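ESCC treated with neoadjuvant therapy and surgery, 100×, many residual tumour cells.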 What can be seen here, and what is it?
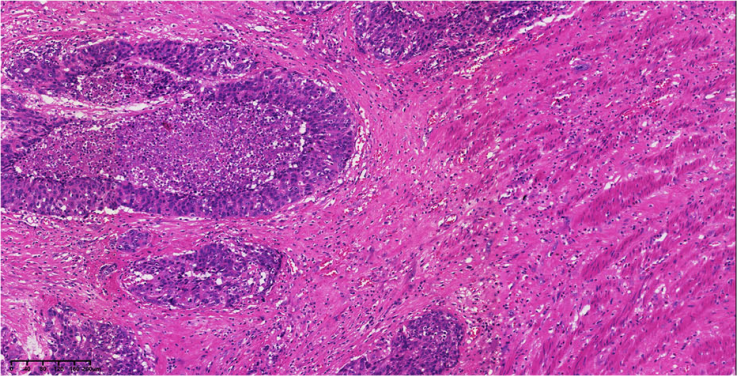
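Several large, rounded nests of crowded, dark purple tumor cells lie within pink fibrous stroma. The cells have large, dark nuclei and scant cytoplasm, and are packed most tightly at the nest edges. The centre of the biggest nest is pale and granular, filled with loose debris. Between the nests runs dense pink tissue with spindle-shaped nuclei, fibrosis merging with smooth muscle on the right.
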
